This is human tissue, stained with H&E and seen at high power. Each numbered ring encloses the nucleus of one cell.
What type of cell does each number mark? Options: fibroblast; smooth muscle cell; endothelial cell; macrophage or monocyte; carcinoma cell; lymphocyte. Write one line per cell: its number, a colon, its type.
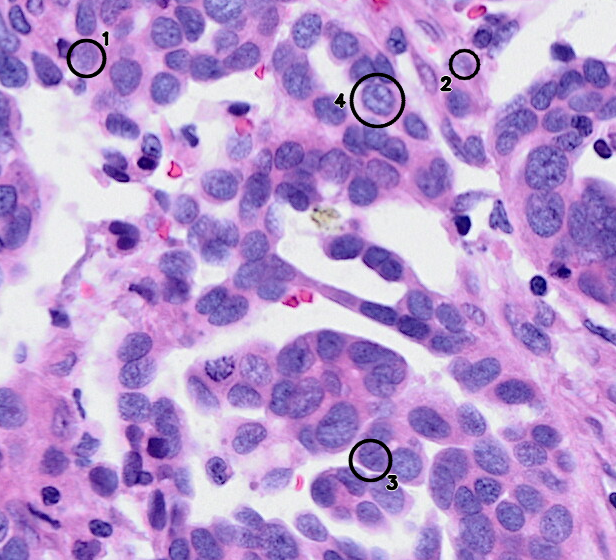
1: carcinoma cell
2: fibroblast
3: carcinoma cell
4: carcinoma cell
